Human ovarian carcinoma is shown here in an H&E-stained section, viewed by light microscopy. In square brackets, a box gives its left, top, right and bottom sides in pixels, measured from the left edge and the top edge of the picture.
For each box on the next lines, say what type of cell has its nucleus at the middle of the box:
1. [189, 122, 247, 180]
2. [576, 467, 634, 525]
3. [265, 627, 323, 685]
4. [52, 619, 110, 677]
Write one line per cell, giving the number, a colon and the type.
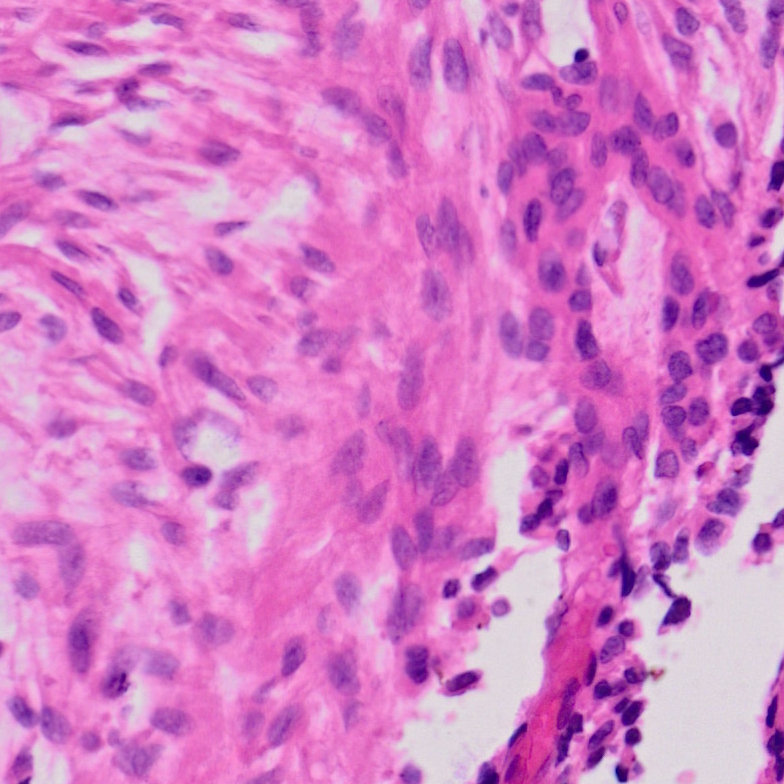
1: fibroblast
2: endothelial cell
3: fibroblast
4: fibroblast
